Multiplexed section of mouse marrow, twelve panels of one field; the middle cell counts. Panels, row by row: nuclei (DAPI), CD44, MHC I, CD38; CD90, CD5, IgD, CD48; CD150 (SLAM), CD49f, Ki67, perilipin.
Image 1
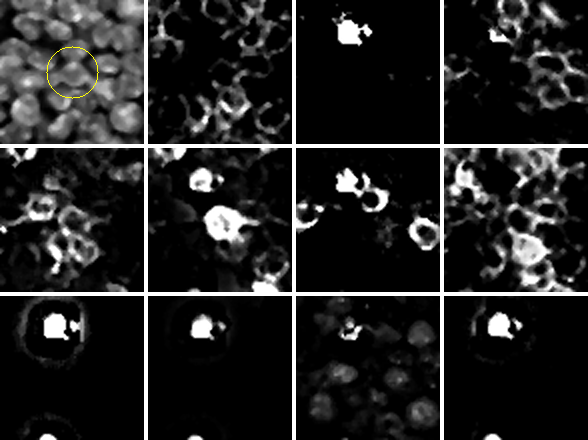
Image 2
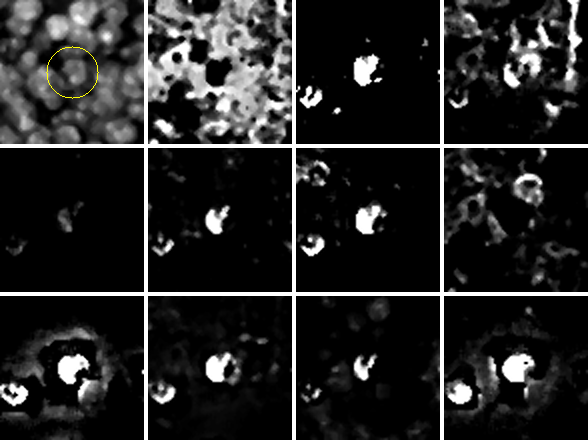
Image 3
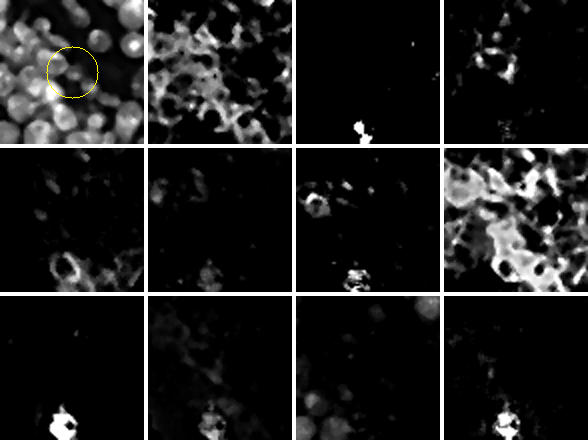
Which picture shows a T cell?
Picture 1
